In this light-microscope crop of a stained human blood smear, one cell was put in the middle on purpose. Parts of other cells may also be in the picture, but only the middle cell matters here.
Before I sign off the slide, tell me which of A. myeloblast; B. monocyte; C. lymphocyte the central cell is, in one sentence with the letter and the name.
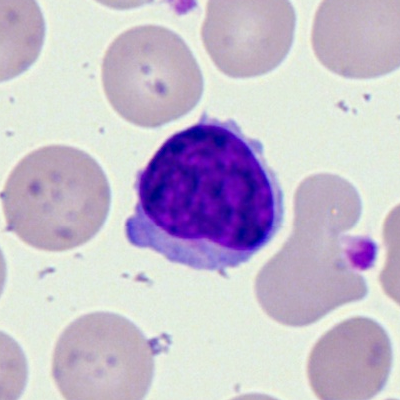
The central cell of the crop is a lymphocyte, which makes C the correct option.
